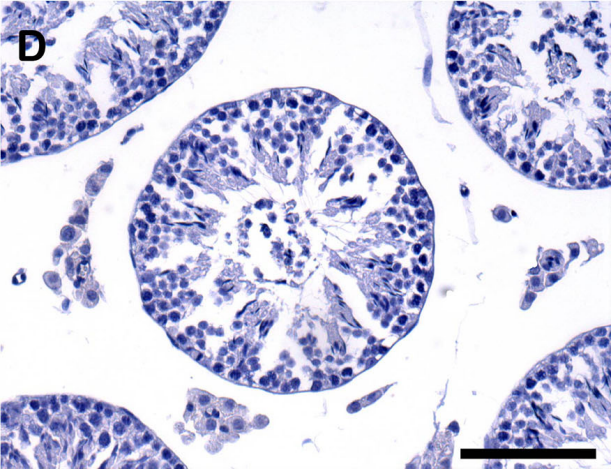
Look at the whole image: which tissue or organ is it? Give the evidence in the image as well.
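Testis. Round tubules in cross-section with stratified epithelium of germ cells. Elongated sperm heads bundled toward the lumen. Clusters of interstitial cells between tubules.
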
